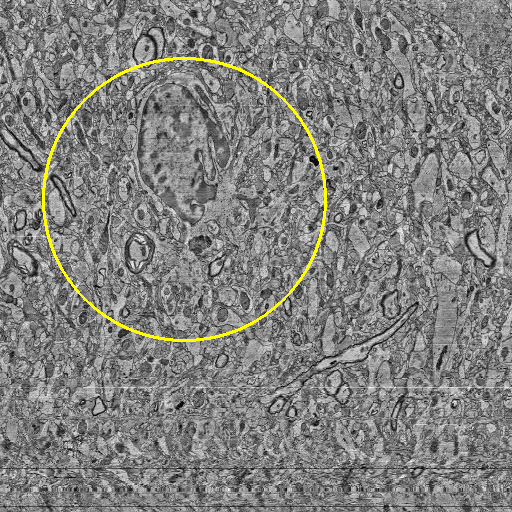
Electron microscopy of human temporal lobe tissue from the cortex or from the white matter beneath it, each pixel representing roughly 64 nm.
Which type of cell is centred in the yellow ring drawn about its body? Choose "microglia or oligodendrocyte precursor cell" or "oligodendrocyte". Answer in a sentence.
The yellow ring surrounds the cell body of a microglial cell or oligodendrocyte precursor cell.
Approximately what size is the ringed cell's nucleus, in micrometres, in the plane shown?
In this plane the nucleus is clearly longer than it is wide: roughly 8 by 5 micrometres.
